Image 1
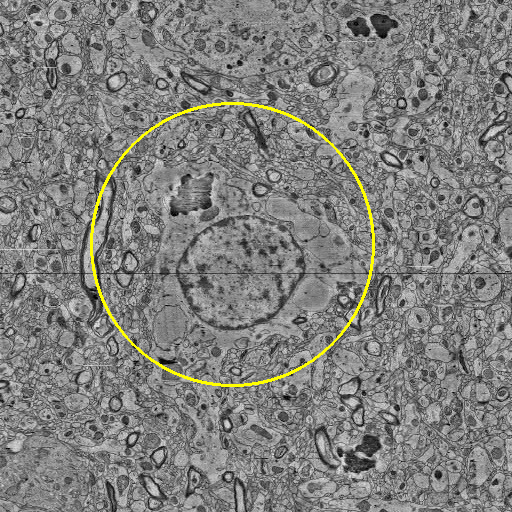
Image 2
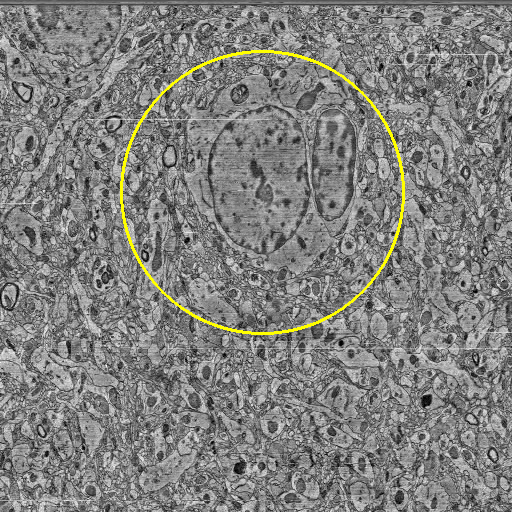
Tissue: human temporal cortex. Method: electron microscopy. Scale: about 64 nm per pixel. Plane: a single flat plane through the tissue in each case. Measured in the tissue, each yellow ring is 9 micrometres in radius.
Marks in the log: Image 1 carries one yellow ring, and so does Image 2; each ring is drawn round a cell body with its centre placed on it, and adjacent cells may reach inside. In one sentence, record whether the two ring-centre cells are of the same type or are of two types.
The two cells at the ring centres, one in each image, are of the same type.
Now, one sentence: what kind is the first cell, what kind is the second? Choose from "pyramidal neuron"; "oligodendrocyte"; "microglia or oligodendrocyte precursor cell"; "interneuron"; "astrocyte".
The ring centre holds an astrocyte in each of the two pictures.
